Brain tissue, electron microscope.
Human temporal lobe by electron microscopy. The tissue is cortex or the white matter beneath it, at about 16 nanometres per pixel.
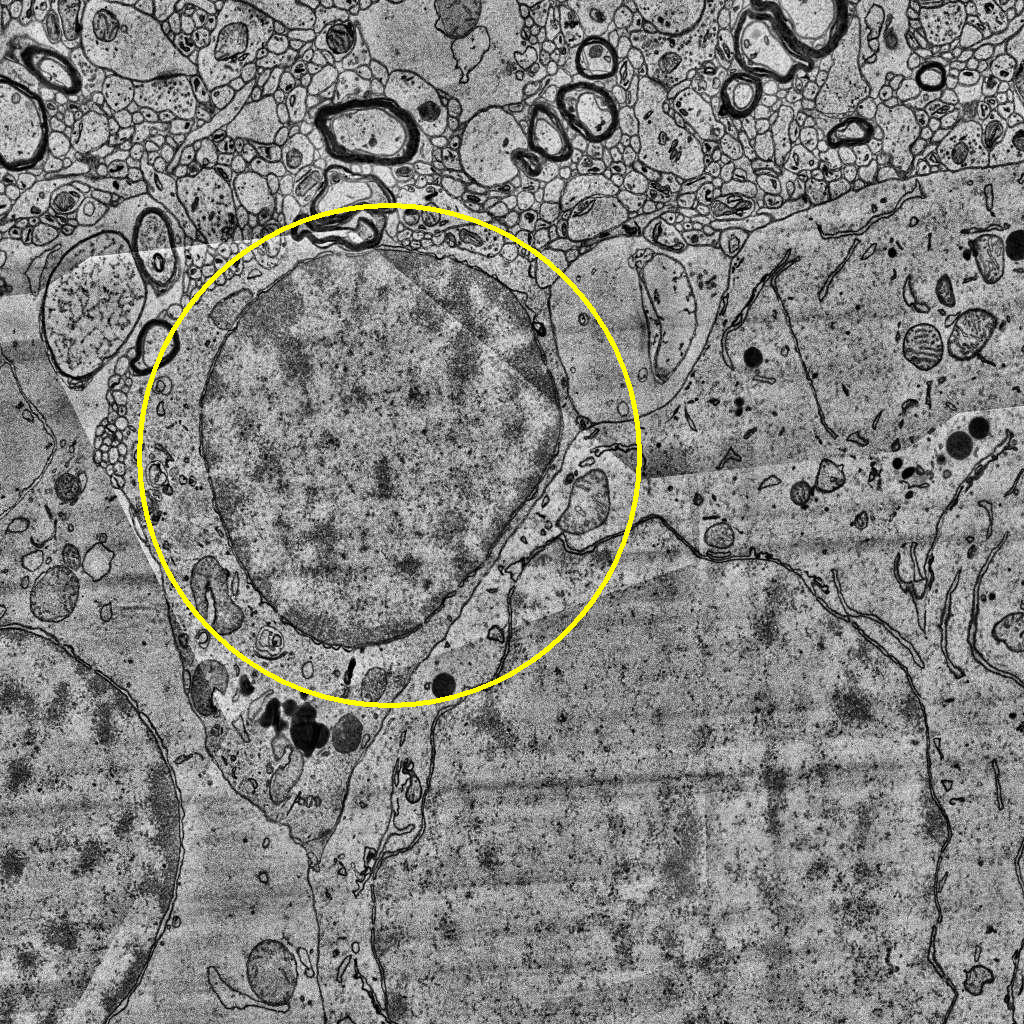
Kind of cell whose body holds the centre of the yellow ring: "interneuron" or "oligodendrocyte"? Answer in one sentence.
The ring's centre falls on an oligodendrocyte.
